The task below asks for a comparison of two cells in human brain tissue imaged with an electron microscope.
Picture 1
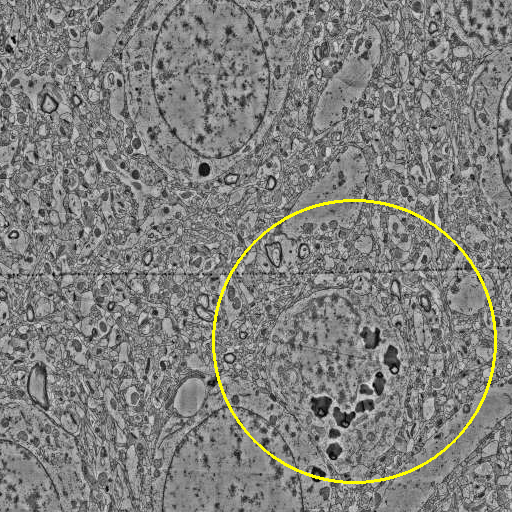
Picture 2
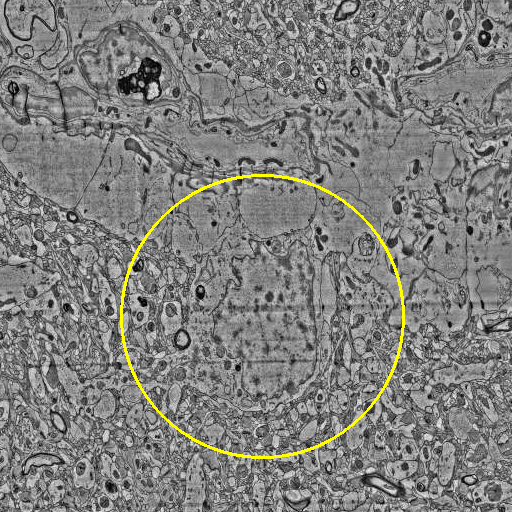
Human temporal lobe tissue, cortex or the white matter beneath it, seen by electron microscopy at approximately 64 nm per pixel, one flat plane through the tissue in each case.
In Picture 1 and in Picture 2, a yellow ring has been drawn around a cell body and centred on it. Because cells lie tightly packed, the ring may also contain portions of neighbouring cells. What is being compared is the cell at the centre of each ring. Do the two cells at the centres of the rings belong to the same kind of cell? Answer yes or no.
yes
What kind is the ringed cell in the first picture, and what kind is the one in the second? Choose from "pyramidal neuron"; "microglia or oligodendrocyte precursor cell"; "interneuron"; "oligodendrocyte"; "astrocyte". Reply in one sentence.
Each cell at the centre of a ring is an interneuron.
